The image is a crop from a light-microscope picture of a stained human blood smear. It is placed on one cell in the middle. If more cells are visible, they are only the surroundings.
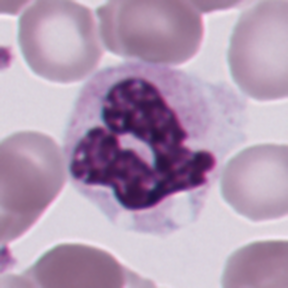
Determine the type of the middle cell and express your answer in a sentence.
The centrally located cell in the crop is a segmented neutrophil.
